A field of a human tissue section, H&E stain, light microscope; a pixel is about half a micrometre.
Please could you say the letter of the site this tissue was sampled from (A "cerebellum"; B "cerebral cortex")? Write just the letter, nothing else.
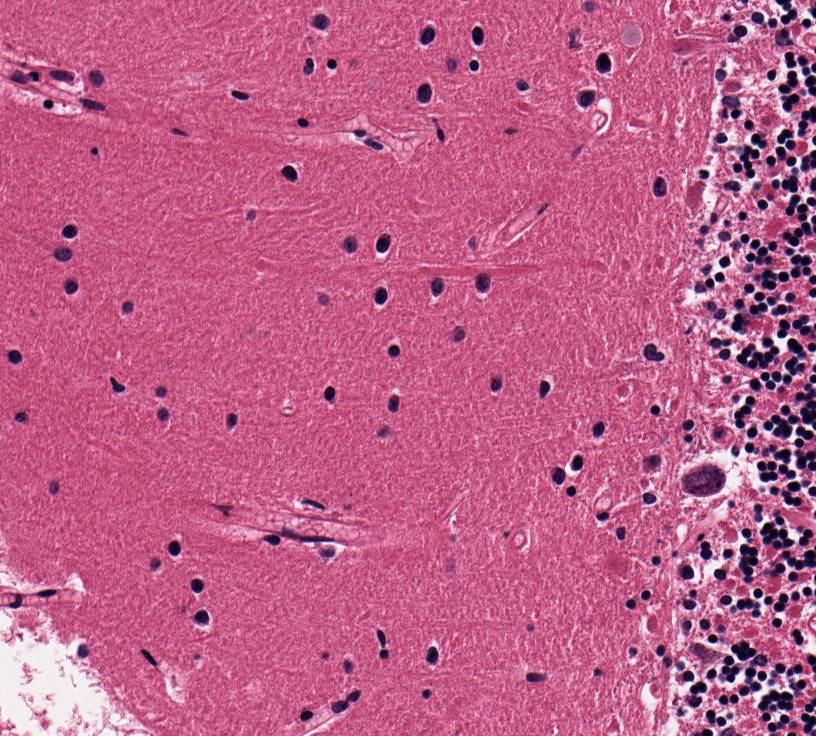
A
